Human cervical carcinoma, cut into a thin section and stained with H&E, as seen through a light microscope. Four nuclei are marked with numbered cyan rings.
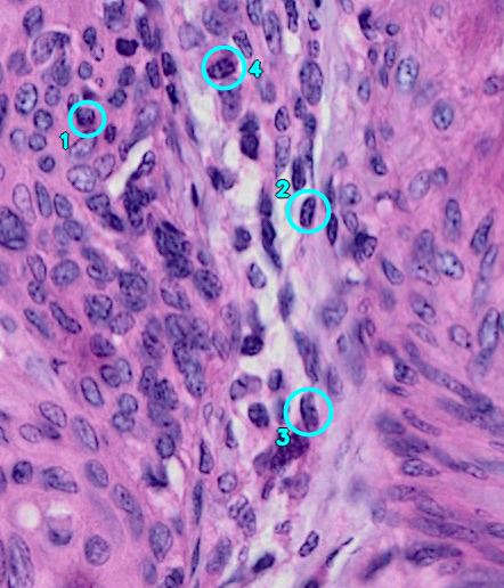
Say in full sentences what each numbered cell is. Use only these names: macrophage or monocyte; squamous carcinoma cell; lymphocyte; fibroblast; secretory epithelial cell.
Cell 1 is a squamous carcinoma cell. Cells 2, 3 and 4 are lymphocytes.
